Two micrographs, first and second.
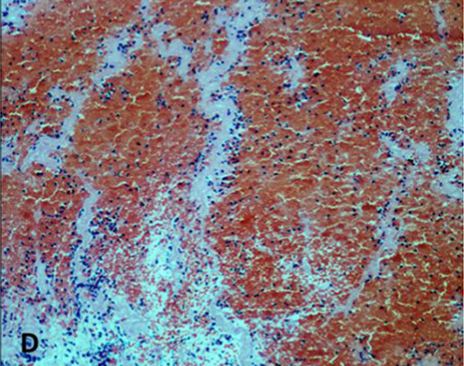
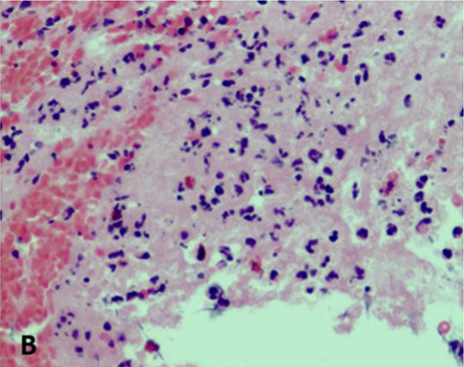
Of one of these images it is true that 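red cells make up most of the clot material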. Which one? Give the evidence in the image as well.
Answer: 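The first image. First image: almost the whole field is packed orange-red red cells. Second image: much of the field is pale pink fibrinous material with scattered nuclei, red cells only at one side.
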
